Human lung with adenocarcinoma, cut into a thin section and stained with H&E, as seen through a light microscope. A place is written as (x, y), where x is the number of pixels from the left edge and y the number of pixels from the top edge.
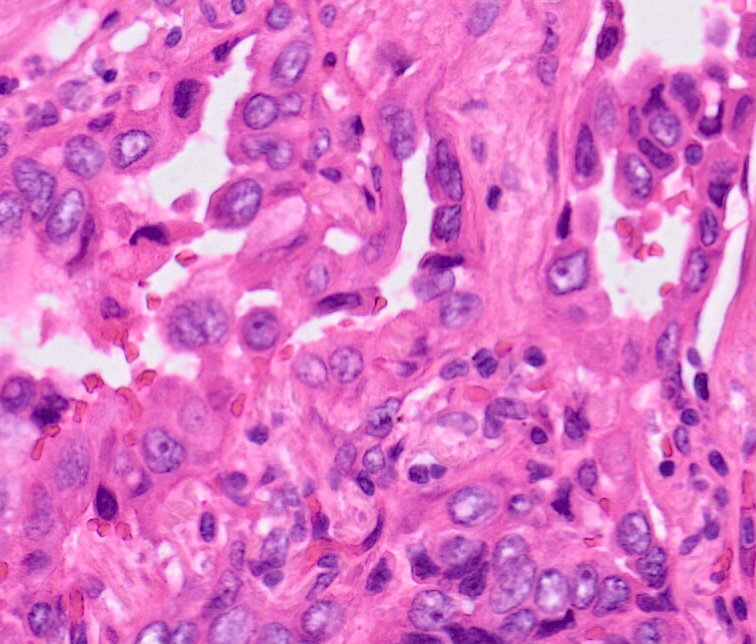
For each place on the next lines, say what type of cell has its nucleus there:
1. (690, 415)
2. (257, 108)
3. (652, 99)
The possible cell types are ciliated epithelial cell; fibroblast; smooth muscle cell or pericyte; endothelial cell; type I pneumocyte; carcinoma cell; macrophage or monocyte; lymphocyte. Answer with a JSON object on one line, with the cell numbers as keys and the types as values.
{"1": "lymphocyte", "2": "carcinoma cell", "3": "carcinoma cell"}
